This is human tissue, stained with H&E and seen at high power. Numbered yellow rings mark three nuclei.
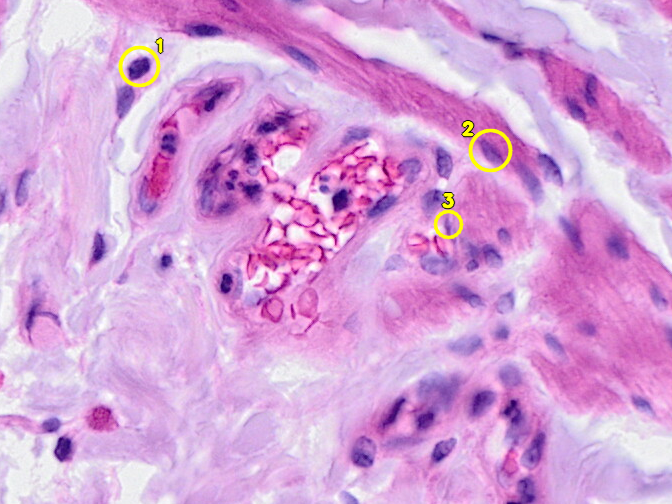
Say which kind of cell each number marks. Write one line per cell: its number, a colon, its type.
1: lymphocyte
2: smooth muscle cell
3: endothelial cell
